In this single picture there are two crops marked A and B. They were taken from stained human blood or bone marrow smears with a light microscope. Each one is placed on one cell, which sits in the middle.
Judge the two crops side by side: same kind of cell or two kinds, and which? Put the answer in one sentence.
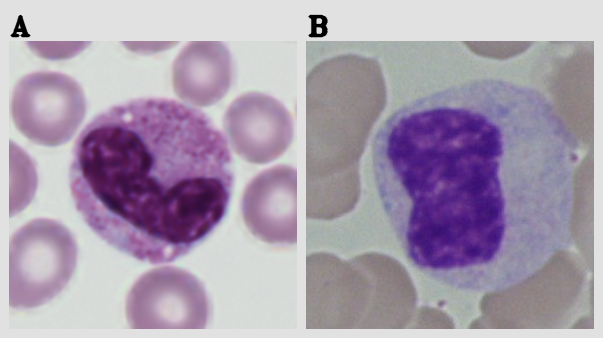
No, the cell in crop A is a band neutrophil and the one in crop B is a metamyelocyte.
